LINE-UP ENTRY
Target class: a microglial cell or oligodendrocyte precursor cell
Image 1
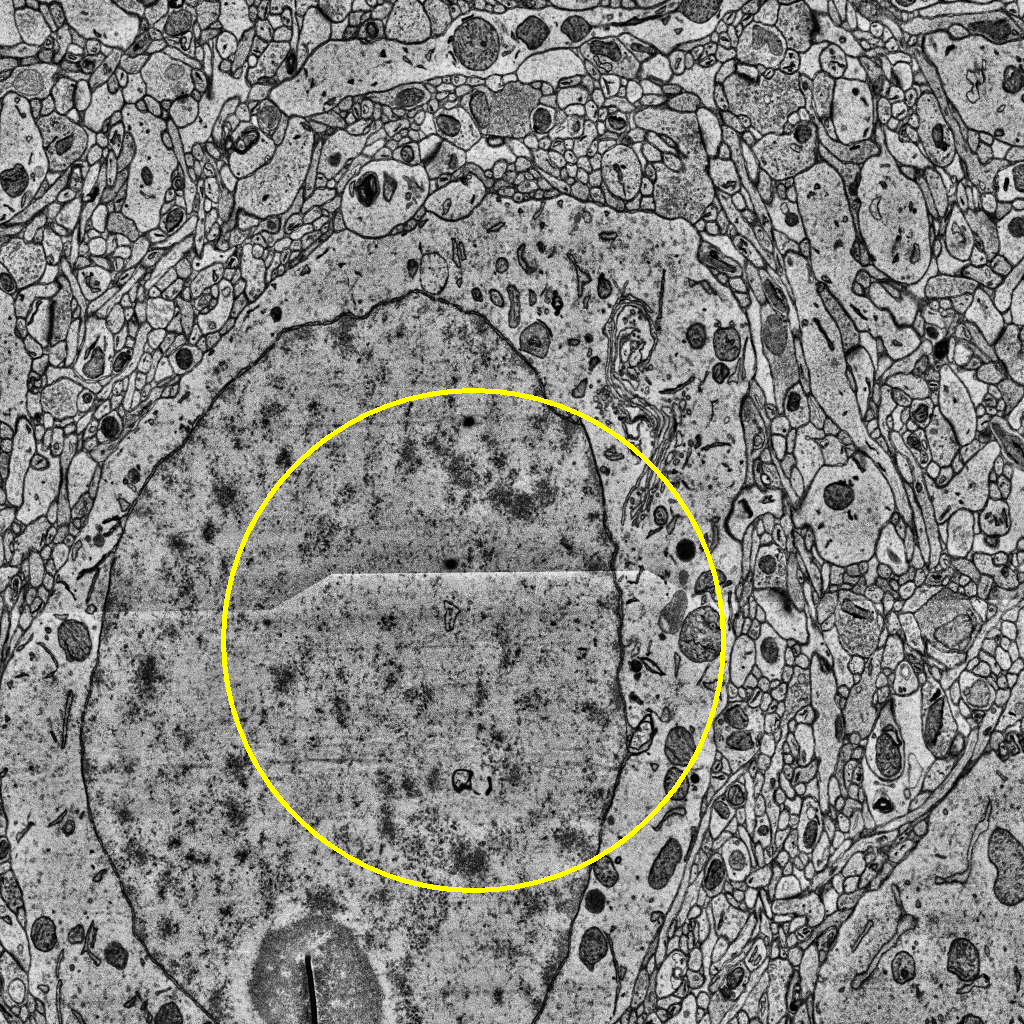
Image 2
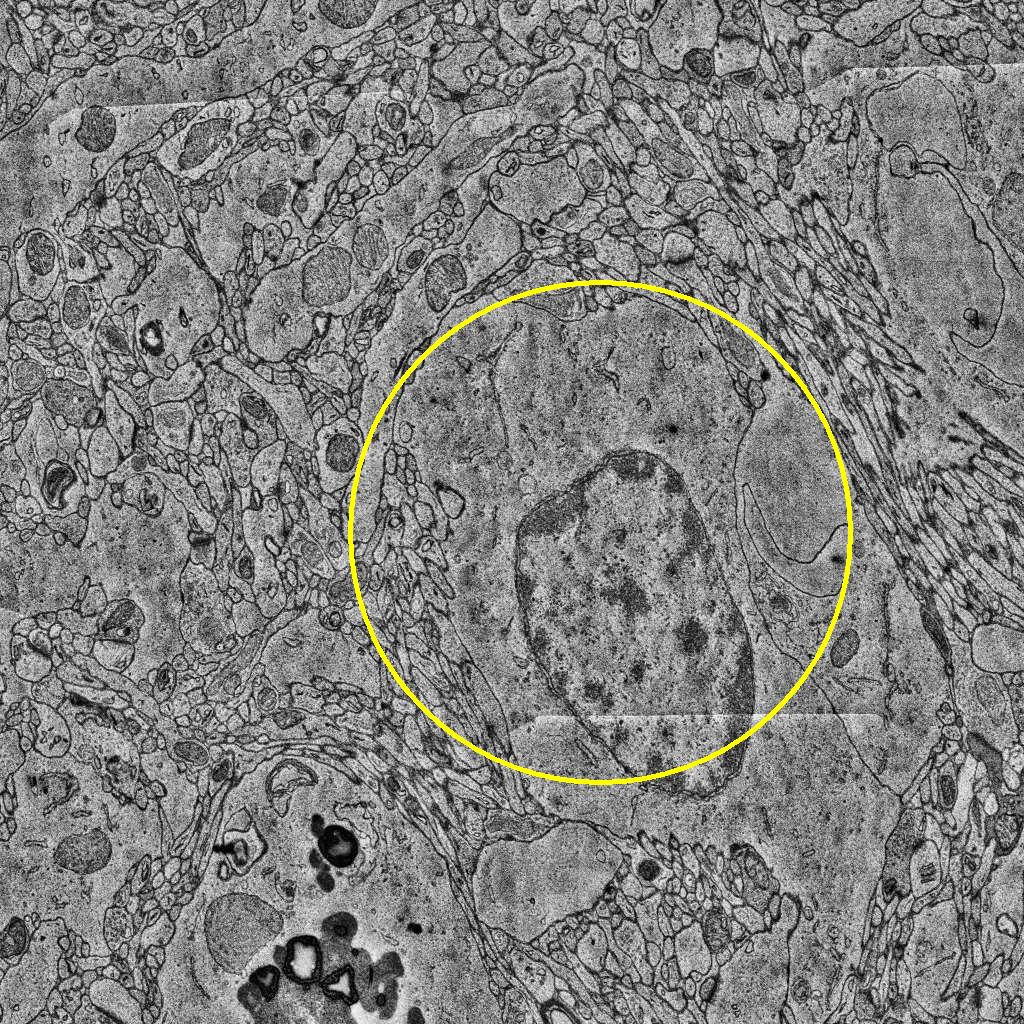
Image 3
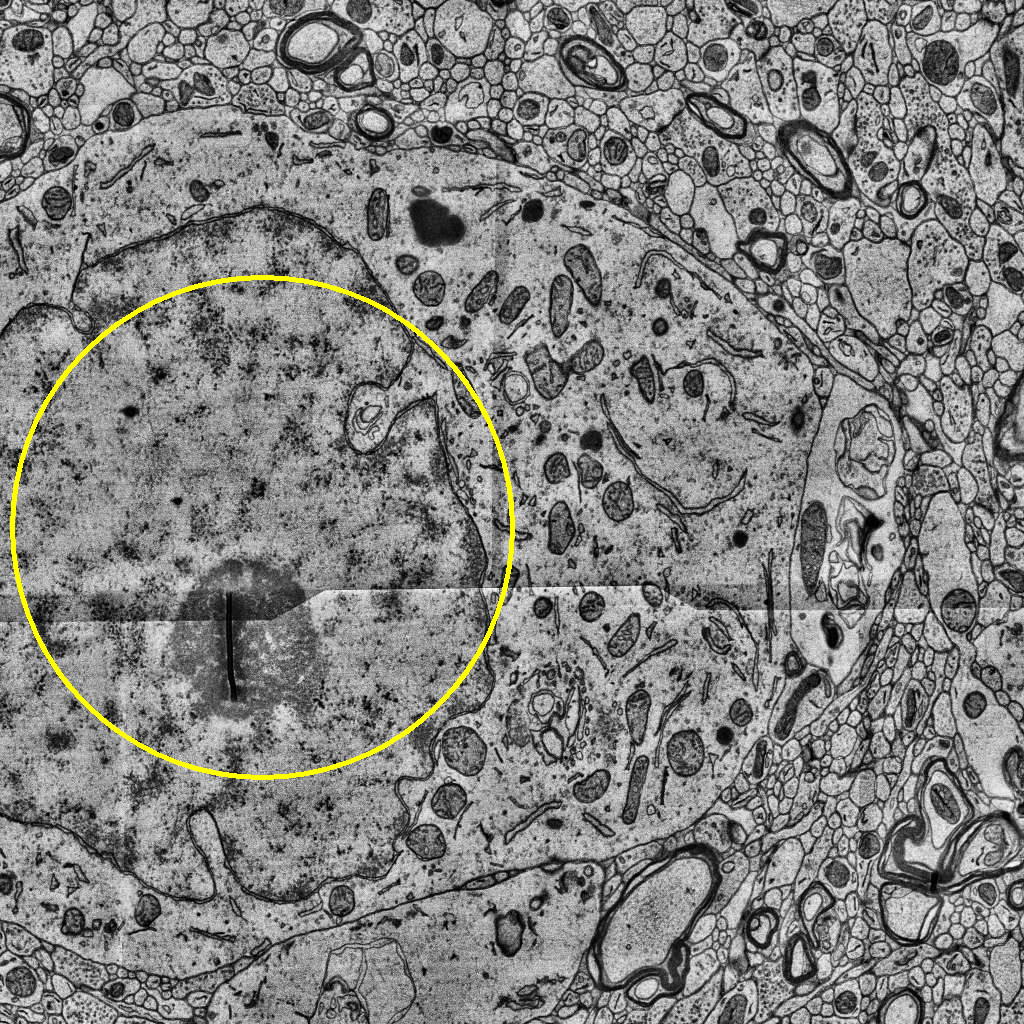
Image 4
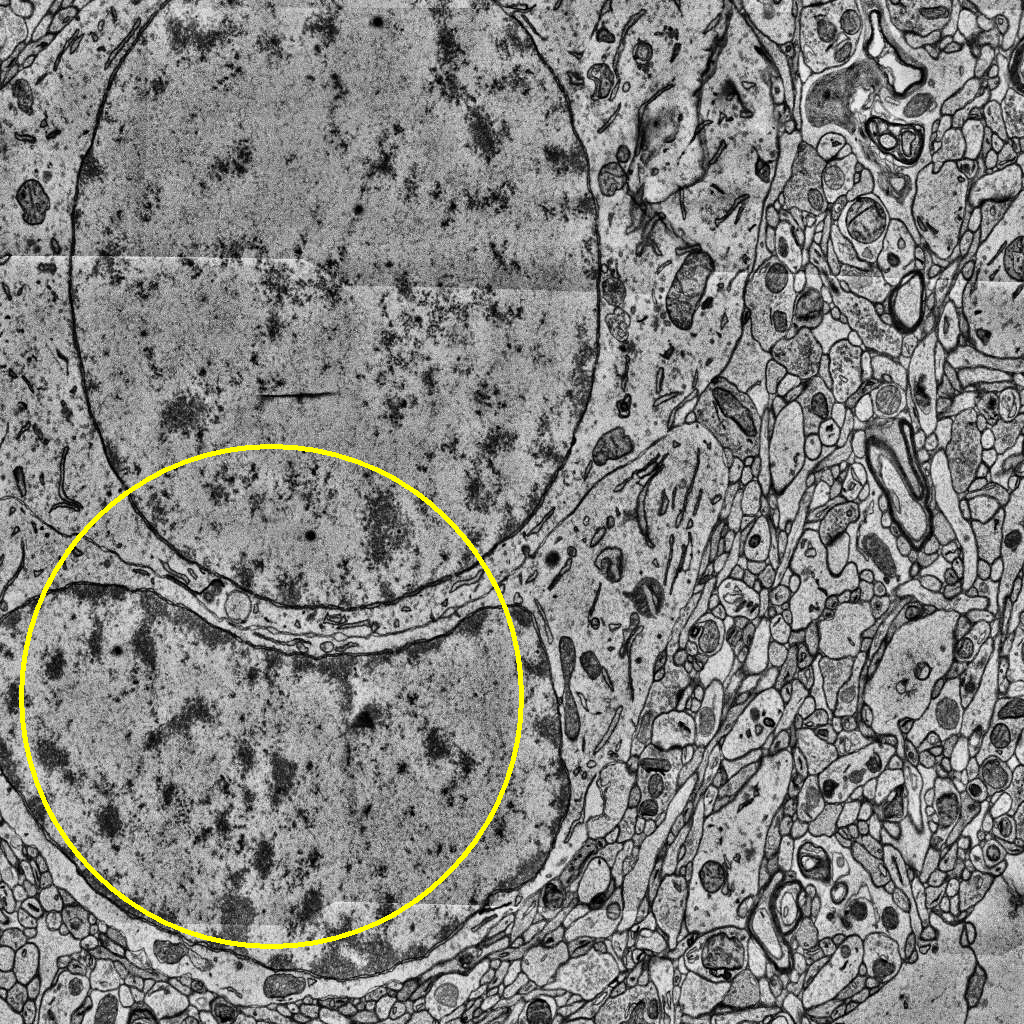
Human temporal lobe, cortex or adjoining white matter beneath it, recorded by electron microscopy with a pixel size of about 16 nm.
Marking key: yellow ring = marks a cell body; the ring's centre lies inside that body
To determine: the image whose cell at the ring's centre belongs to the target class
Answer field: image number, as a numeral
4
